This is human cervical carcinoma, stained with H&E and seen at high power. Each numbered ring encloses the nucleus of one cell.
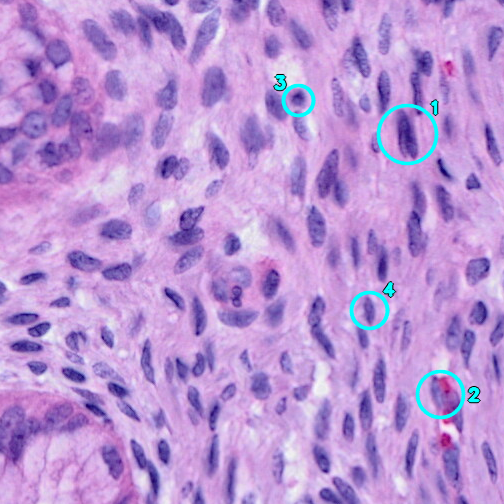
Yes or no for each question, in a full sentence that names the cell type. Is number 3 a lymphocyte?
Yes, in the section, number 3 is a lymphocyte.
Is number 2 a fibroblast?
No, the cell numbered 2 is an endothelial cell rather than a fibroblast.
